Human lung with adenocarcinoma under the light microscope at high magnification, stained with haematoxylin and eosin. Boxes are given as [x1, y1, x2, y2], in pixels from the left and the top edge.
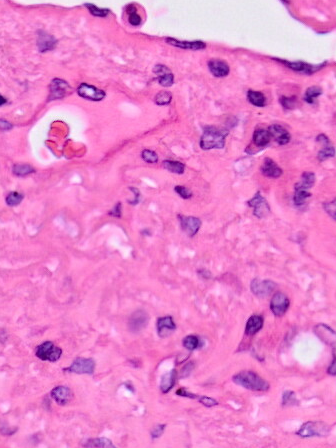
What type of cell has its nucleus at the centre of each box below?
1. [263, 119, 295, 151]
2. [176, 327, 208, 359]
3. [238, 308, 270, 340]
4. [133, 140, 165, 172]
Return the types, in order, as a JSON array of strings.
["plasma cell", "lymphocyte", "plasma cell", "mast cell"]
